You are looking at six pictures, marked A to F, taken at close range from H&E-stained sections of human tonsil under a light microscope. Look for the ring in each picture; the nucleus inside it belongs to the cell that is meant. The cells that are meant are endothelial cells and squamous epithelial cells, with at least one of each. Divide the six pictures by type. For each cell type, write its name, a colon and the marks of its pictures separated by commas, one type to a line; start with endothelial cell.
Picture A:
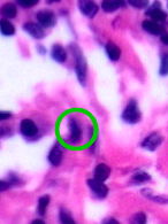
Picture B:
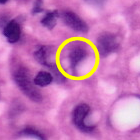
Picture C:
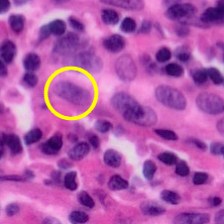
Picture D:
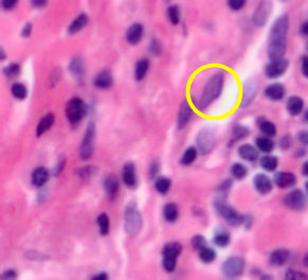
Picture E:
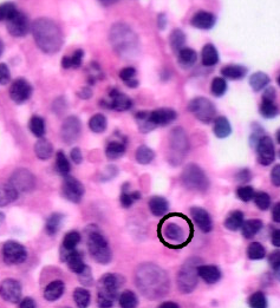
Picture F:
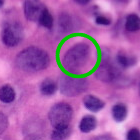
endothelial cell: A, C, D, E
squamous epithelial cell: B, F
